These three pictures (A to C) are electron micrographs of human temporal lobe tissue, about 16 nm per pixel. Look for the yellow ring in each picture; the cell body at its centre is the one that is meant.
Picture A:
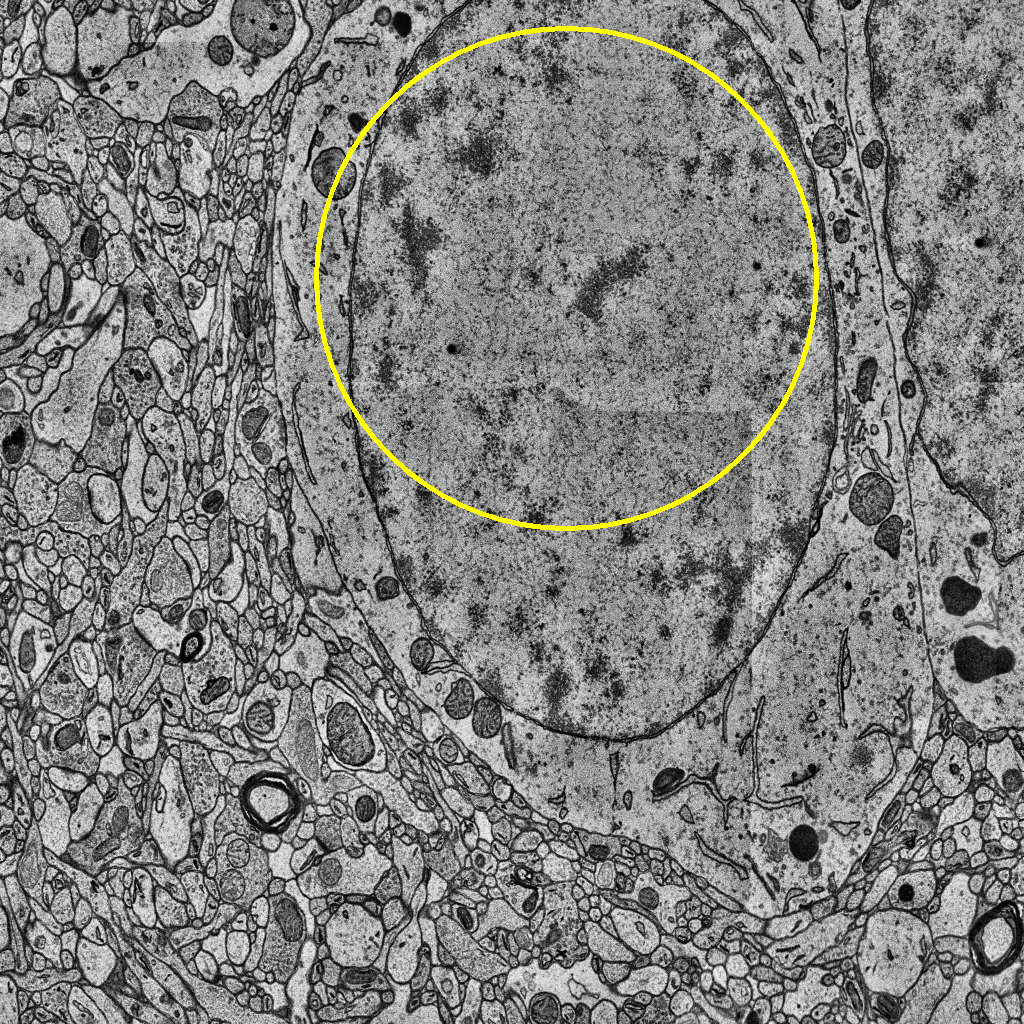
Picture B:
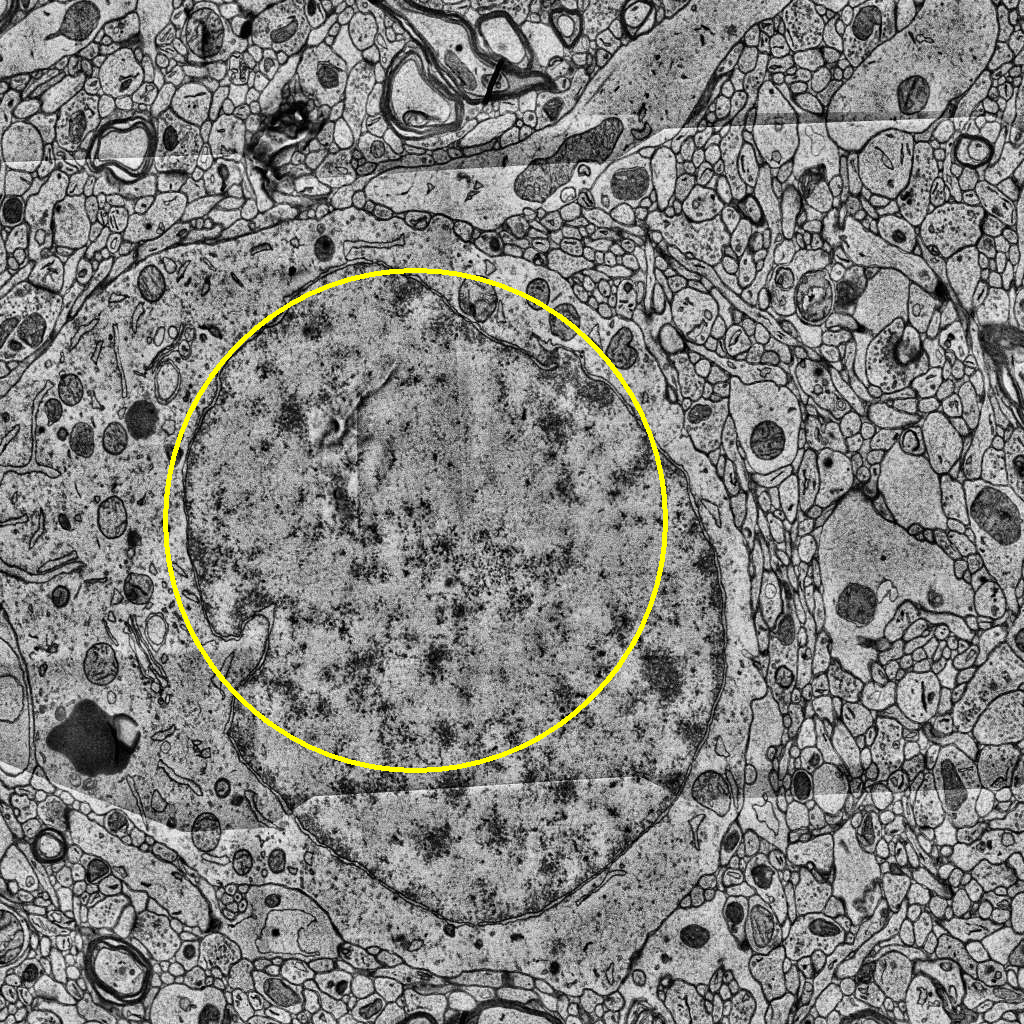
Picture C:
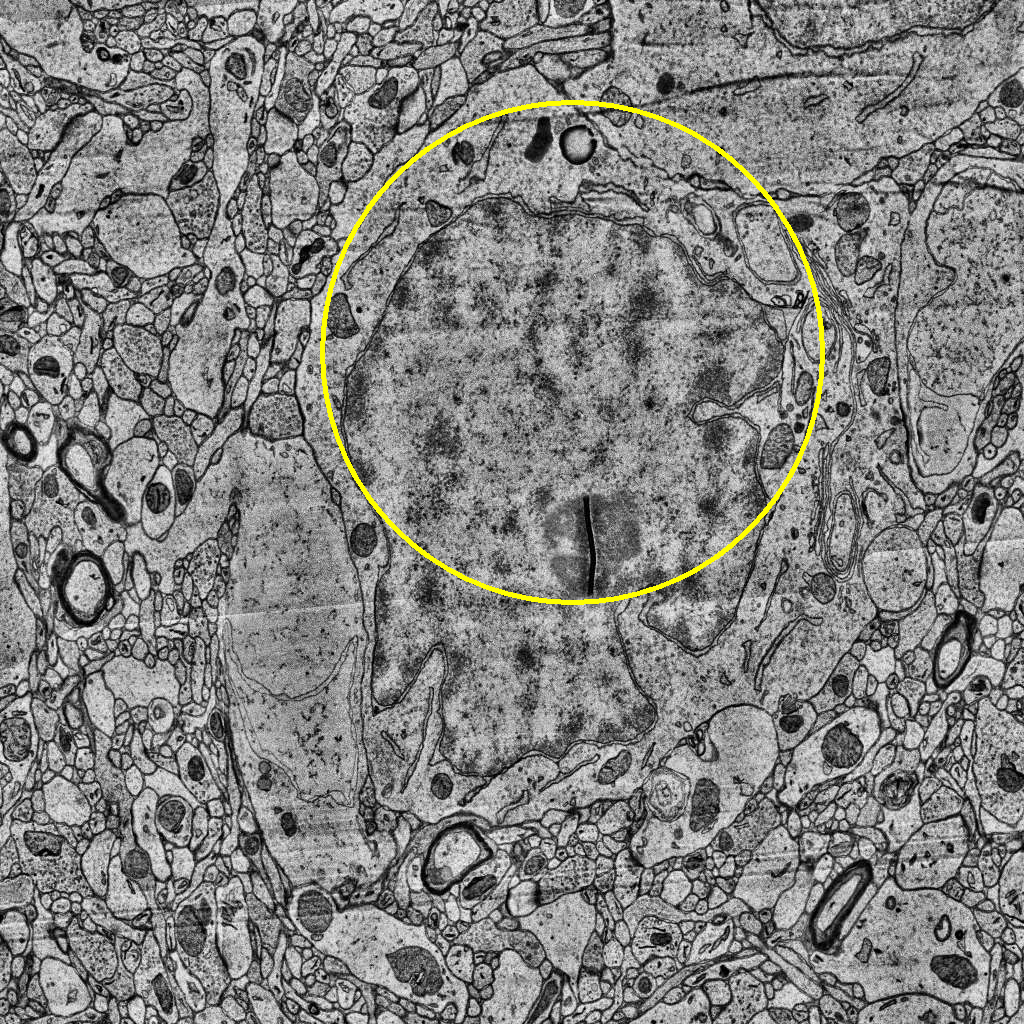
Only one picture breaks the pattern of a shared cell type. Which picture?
The others show interneurons, but picture A shows a pyramidal neuron.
